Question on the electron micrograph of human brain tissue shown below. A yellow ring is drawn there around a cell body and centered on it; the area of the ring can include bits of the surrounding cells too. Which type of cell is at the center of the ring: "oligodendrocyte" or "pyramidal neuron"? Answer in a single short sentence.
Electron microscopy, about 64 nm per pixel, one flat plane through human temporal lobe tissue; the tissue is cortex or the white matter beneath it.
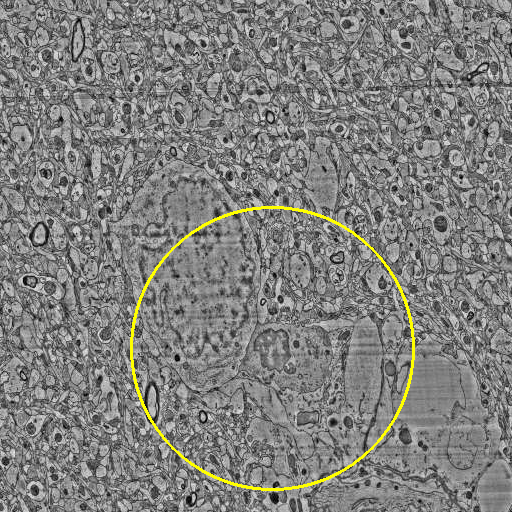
The ring is centered on an oligodendrocyte.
